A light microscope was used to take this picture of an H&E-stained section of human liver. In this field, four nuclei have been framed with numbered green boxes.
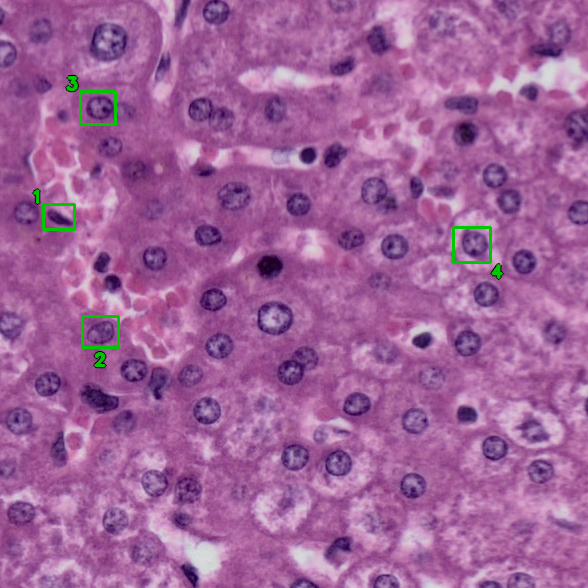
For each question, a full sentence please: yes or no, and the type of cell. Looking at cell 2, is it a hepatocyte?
Yes, the cell given number 2 is a hepatocyte.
